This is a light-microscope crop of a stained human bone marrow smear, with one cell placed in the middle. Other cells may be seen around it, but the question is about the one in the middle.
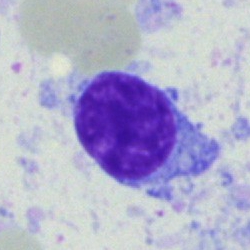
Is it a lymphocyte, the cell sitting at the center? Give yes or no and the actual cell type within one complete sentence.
Yes, the identification of the central cell as a lymphocyte is correct.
